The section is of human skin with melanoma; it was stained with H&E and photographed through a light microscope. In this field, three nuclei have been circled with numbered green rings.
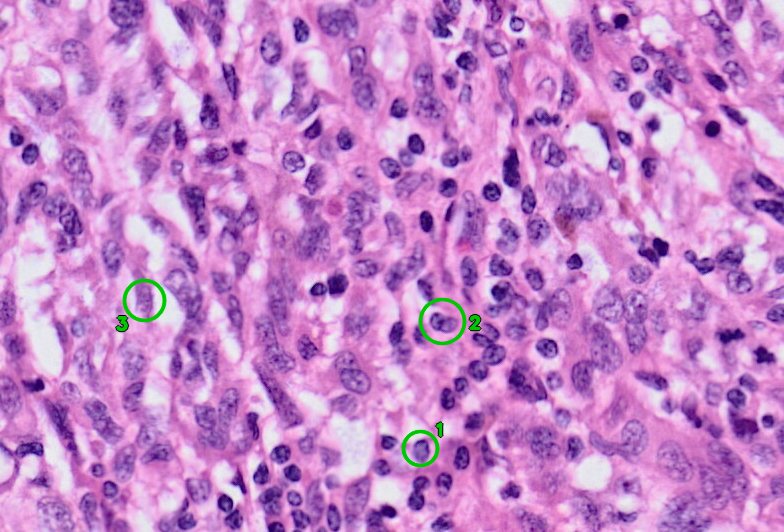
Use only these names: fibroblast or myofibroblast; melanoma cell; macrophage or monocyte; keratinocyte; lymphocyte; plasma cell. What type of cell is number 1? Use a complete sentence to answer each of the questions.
It is as a lymphocyte that the cell numbered 1 is identified.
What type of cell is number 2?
The cell referred to as 2 is a lymphocyte.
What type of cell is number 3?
The cell assigned the number 3 is a melanoma cell.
